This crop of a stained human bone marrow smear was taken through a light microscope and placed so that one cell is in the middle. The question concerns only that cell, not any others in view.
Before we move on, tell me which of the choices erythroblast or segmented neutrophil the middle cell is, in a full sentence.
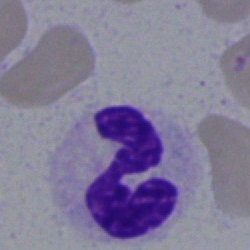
Seen at the centre of the crop is a segmented neutrophil.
